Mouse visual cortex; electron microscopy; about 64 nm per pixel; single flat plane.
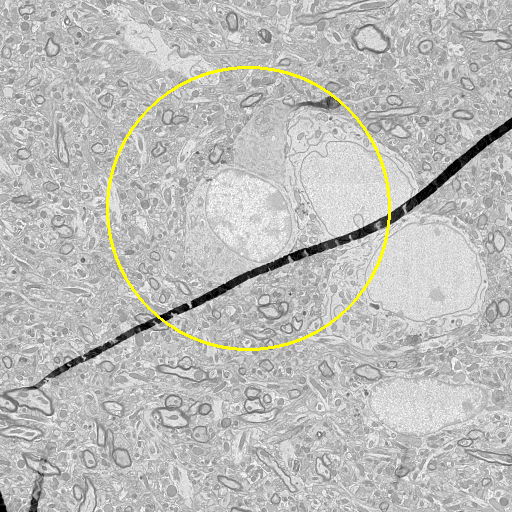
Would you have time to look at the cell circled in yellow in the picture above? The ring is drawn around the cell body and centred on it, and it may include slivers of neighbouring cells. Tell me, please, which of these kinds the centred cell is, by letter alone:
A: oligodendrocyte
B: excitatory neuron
A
